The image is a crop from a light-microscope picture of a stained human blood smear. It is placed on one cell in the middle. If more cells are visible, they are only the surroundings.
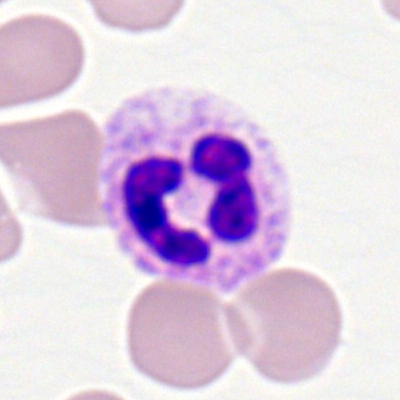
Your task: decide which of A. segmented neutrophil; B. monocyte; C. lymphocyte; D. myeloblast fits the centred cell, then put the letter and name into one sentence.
The correct identification, given in option A, is that the central cell is a segmented neutrophil.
